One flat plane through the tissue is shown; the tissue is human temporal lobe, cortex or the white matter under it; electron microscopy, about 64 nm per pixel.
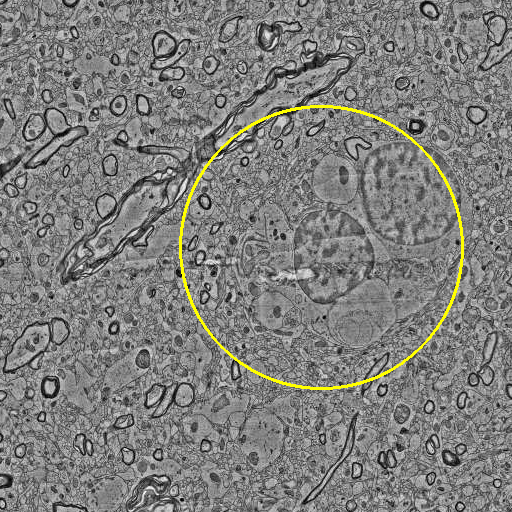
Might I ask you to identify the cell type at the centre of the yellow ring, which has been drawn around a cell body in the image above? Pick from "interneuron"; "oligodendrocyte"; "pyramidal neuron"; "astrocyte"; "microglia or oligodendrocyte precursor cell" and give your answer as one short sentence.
The centre of the ring falls on a microglial cell or oligodendrocyte precursor cell.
